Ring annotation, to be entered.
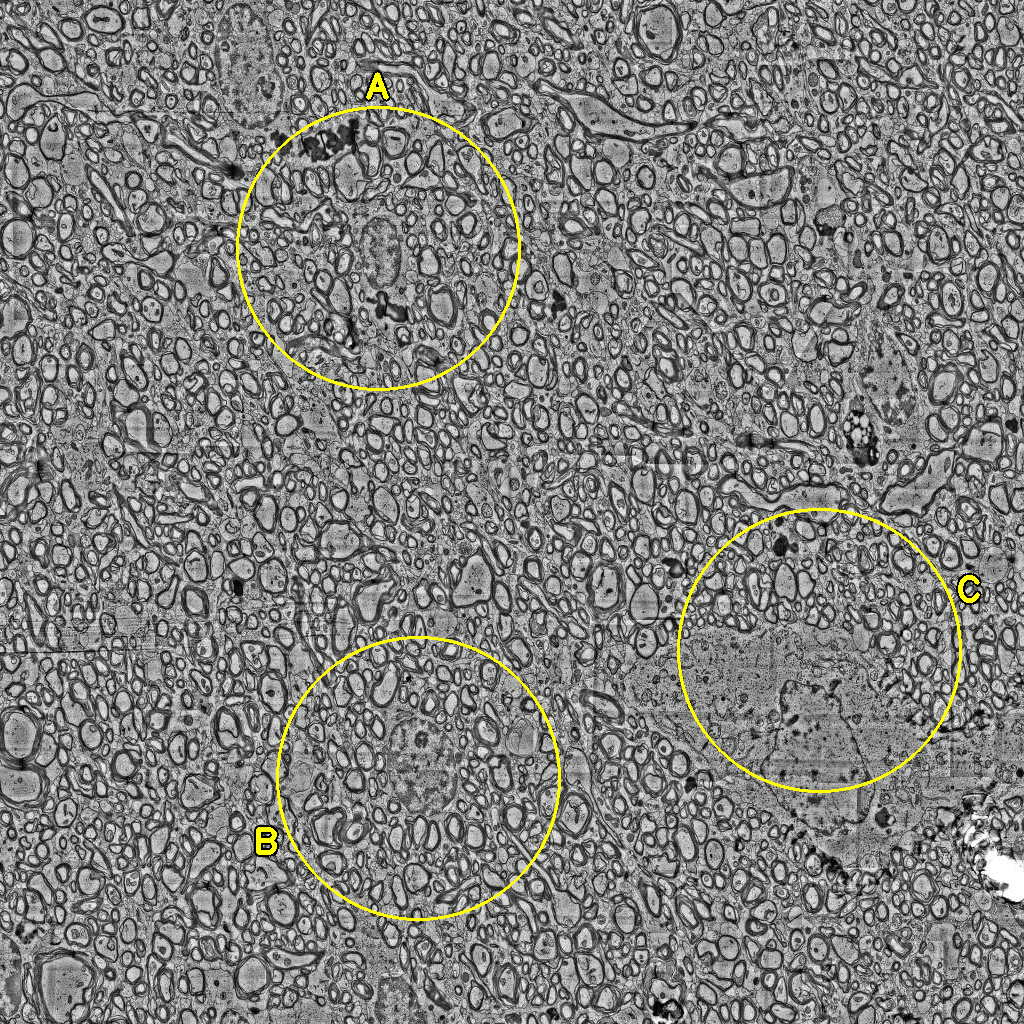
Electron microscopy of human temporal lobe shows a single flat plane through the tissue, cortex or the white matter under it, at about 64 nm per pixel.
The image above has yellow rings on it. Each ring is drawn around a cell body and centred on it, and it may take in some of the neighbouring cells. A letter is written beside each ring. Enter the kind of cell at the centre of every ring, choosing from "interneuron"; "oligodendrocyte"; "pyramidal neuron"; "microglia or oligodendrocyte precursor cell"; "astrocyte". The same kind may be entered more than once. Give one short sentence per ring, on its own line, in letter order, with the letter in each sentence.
The ring marked A is centred on an oligodendrocyte.
The ring marked B is centred on an oligodendrocyte.
The ring marked C is centred on a pyramidal neuron.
